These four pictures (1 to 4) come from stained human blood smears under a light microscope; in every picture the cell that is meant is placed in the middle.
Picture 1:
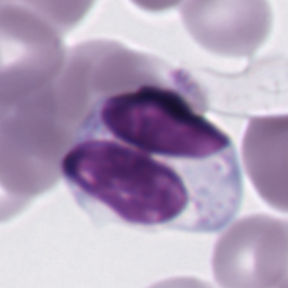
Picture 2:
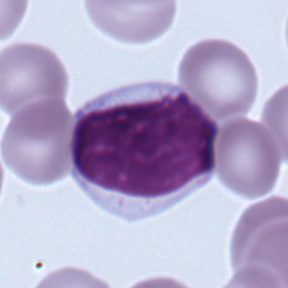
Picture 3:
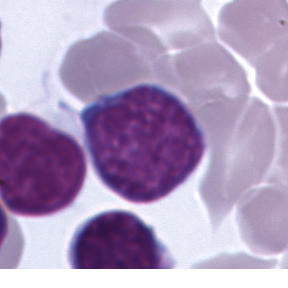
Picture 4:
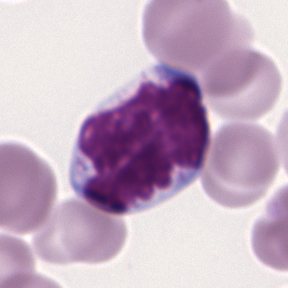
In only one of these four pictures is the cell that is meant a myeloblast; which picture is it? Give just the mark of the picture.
3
